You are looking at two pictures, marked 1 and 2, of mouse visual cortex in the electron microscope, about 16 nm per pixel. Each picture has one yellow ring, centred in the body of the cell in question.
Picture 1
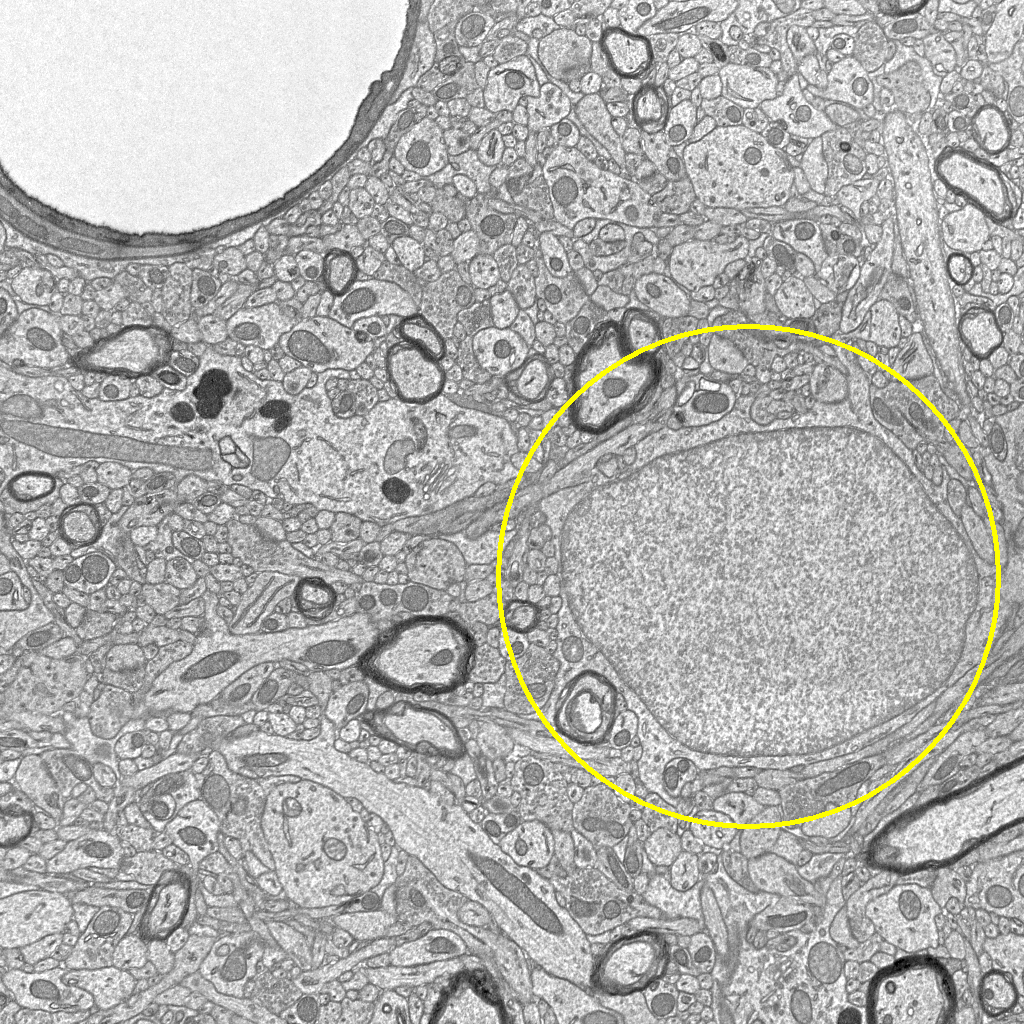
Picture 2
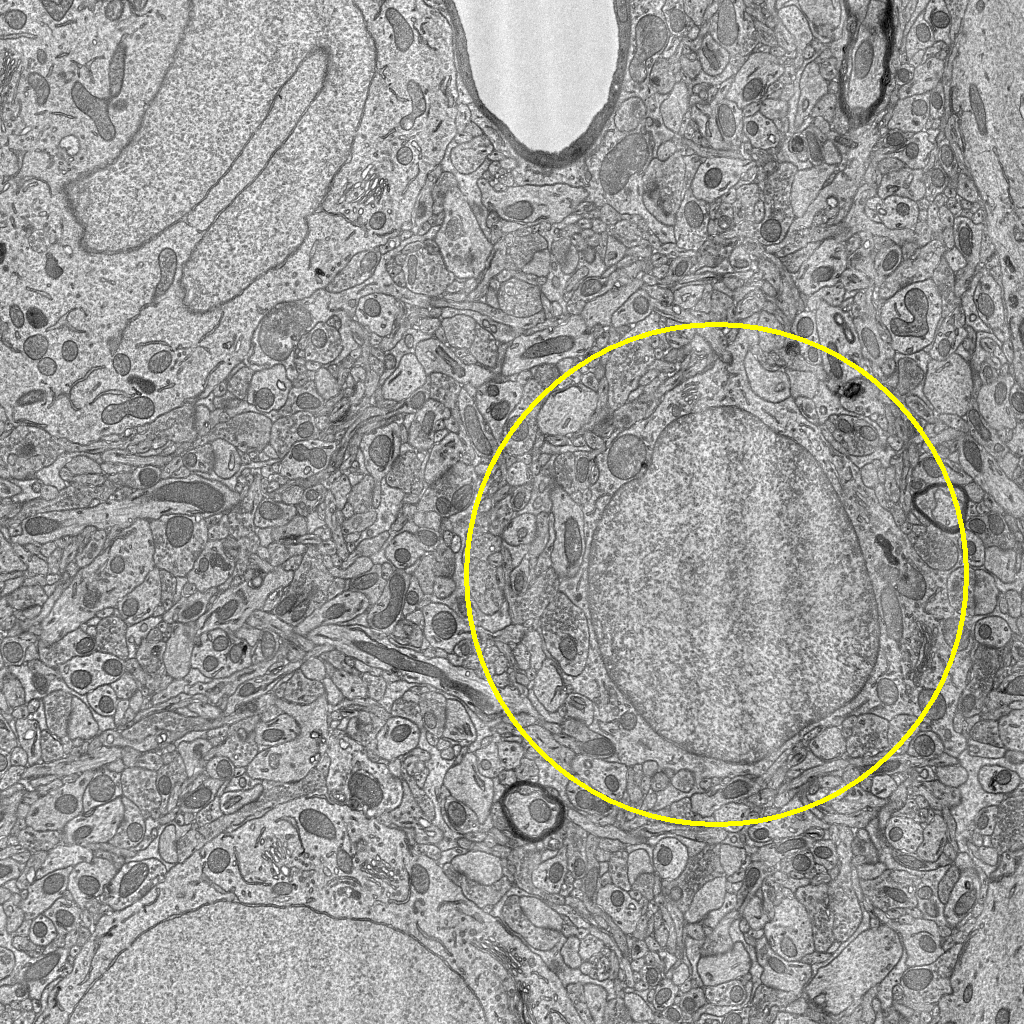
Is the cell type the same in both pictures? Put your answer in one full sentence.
Yes, the two pictures both show astrocytes.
